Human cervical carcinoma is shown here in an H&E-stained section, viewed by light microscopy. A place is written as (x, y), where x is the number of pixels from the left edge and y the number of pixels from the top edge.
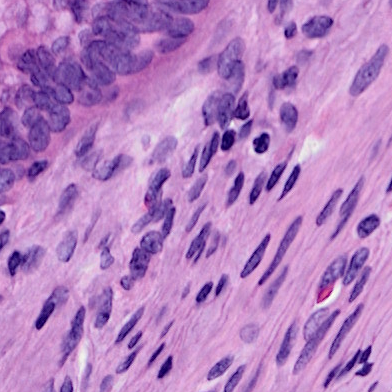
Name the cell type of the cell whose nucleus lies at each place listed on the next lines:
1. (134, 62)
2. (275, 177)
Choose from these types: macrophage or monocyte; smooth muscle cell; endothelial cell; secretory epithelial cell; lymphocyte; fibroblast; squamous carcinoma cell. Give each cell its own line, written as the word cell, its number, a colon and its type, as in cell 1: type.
cell 1: secretory epithelial cell
cell 2: fibroblast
